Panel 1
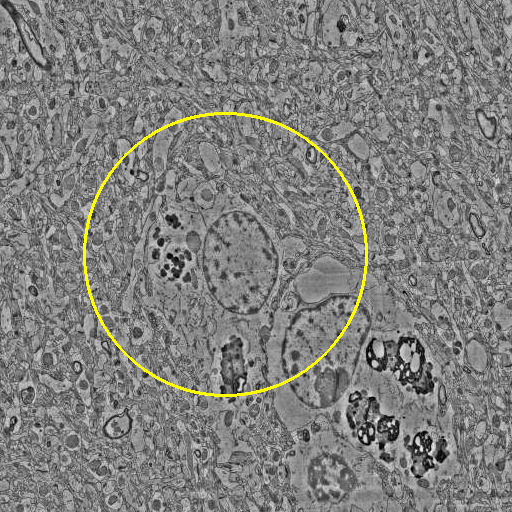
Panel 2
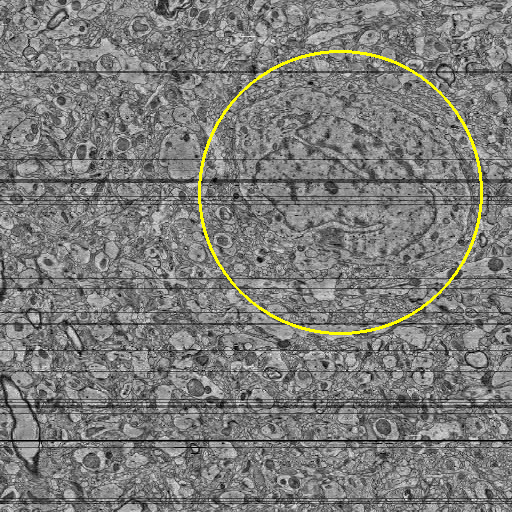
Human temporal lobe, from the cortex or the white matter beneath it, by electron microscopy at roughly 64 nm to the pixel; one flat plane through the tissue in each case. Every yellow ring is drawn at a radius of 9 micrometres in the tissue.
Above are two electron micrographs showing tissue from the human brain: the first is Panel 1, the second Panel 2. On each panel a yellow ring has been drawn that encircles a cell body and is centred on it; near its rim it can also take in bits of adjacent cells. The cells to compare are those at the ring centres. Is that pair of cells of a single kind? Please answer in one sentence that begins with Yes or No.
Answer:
No, the ring-centred cells of Panel 1 and Panel 2 belong to two kinds.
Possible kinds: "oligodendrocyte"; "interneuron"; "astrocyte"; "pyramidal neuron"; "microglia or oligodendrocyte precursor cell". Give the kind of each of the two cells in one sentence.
The cell in the second picture is an interneuron, and that in the first is an astrocyte.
